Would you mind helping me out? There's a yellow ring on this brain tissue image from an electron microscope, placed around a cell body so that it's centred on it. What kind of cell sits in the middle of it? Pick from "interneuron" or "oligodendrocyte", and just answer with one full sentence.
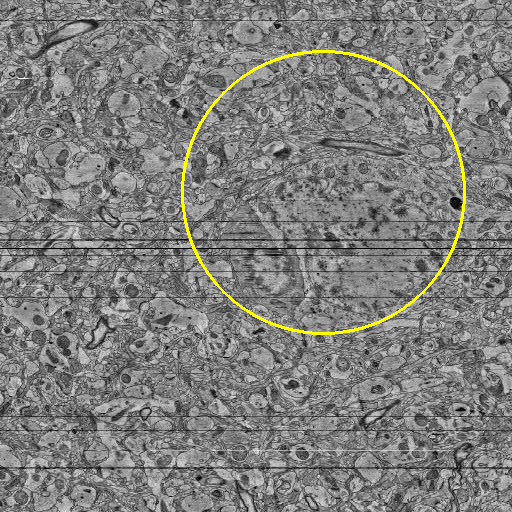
What sits in the middle of that yellow ring is an interneuron, from your choices.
